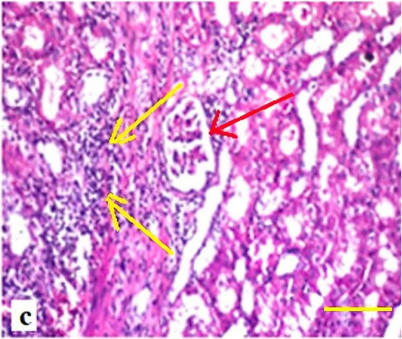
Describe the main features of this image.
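This is renal cortex with a glomerulus, its capsular space, and surrounding tubules lined by pink epithelium. Beside the glomerulus, between it and the tubules, lies a dense focal collection of small, round, dark-staining inflammatory cells, with pinker fibrous strands among them, disrupting the normal tubular pattern.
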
